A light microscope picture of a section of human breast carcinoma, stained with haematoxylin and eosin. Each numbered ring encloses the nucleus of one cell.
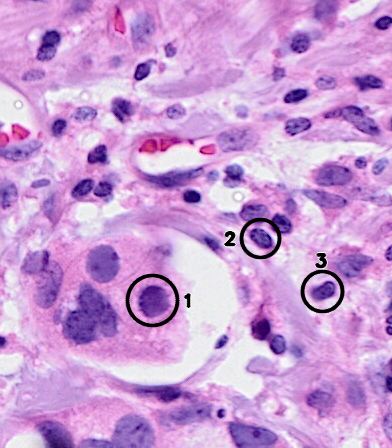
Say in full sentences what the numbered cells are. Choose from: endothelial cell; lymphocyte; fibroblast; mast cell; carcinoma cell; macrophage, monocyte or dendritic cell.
Cell 1 is a carcinoma cell, cell 2 is a lymphocyte and cell 3 is a lymphocyte.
